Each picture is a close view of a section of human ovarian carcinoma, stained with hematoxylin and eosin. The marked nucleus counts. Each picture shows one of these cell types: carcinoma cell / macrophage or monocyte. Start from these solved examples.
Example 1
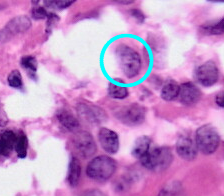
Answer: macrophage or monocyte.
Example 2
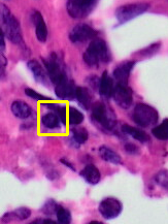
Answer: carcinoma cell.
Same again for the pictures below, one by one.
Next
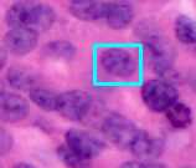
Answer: carcinoma cell.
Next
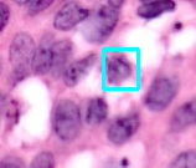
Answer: macrophage or monocyte.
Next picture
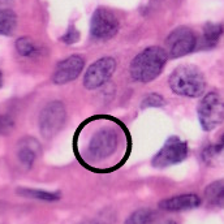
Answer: carcinoma cell.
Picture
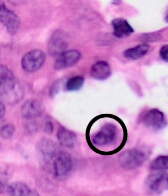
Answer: macrophage or monocyte.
